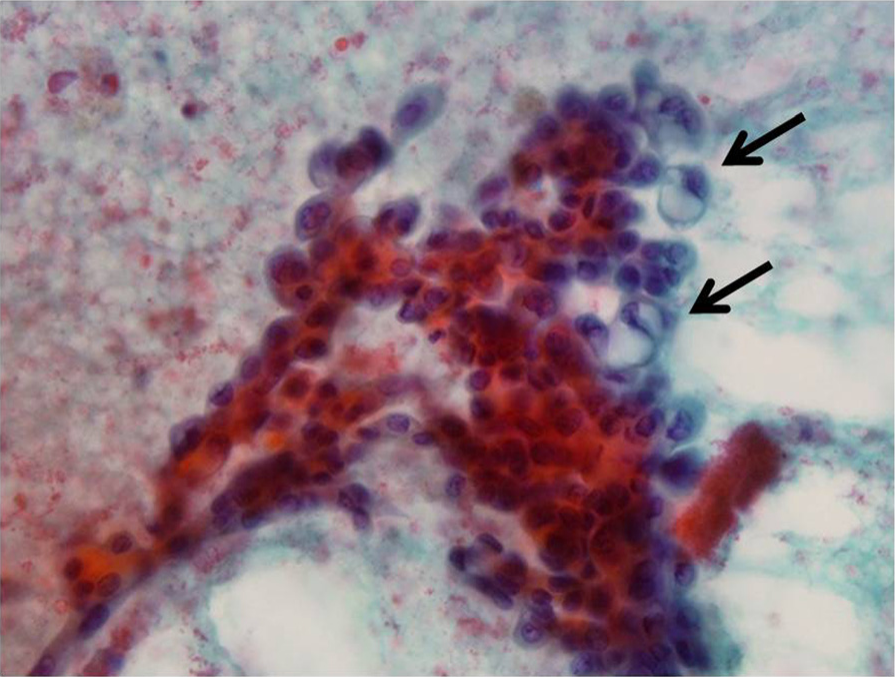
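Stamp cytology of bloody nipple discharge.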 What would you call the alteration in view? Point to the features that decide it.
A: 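Cells lie in a large, crowded, three-dimensional cluster. Nuclei are enlarged, dark and overlapping. The cells vary in size and shape.
Conclusion: clustered atypical cells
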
